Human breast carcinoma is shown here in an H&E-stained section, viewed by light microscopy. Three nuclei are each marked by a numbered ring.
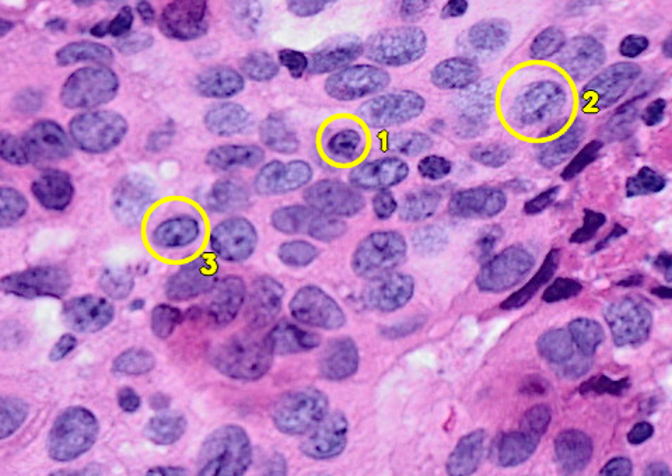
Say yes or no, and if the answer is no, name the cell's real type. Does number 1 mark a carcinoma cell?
No, it is a lymphocyte.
